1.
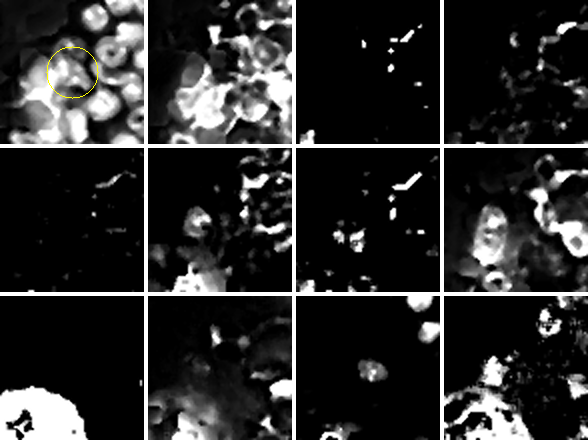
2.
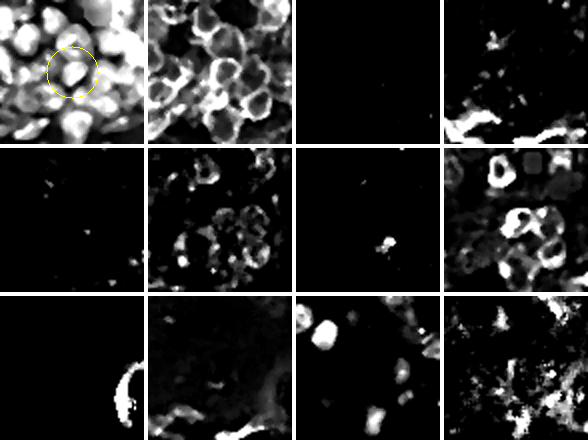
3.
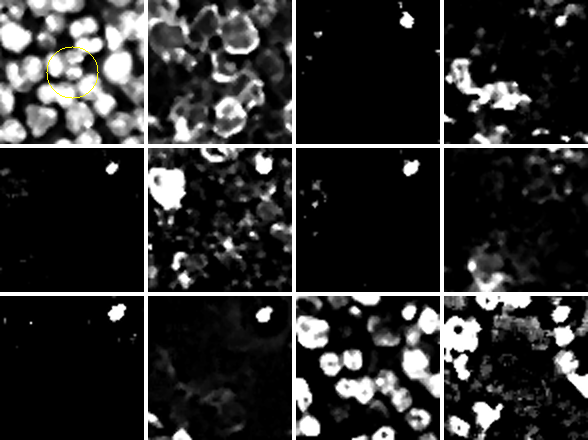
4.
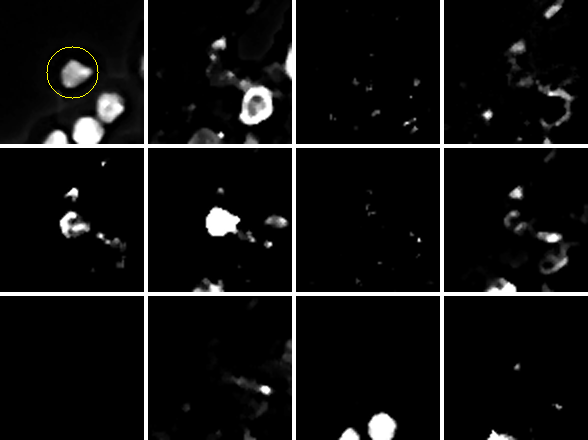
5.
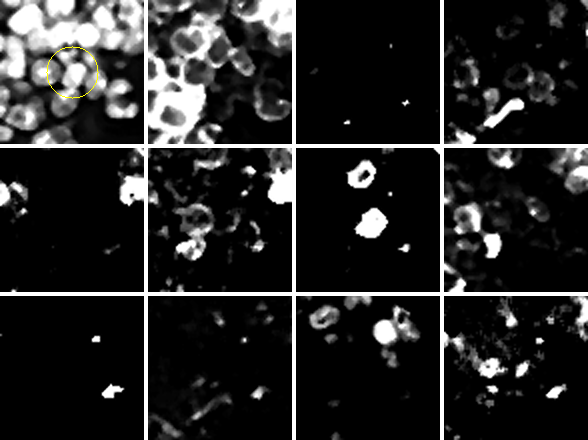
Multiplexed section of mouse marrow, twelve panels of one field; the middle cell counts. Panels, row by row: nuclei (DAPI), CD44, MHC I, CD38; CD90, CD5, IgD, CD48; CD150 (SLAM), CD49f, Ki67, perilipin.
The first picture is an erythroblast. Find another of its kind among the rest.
Picture 3.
